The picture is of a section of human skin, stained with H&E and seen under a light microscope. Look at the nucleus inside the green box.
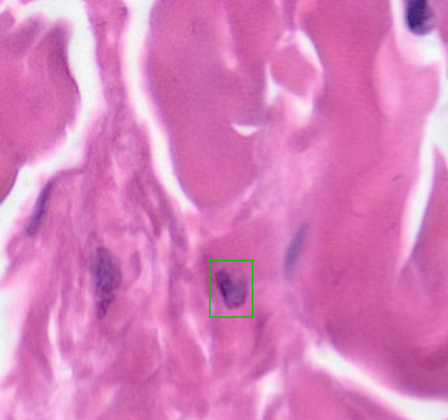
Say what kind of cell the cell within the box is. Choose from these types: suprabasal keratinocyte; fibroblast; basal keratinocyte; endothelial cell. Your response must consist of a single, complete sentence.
Histopathologically, the cell within the box is a fibroblast.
